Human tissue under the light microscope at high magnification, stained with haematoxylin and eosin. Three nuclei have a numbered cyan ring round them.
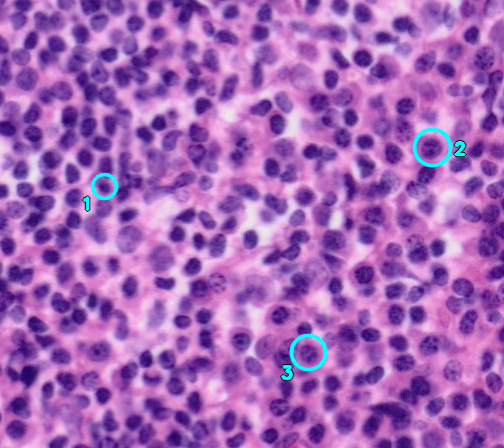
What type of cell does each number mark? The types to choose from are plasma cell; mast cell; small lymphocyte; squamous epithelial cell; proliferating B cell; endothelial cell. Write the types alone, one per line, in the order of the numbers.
small lymphocyte
plasma cell
plasma cell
